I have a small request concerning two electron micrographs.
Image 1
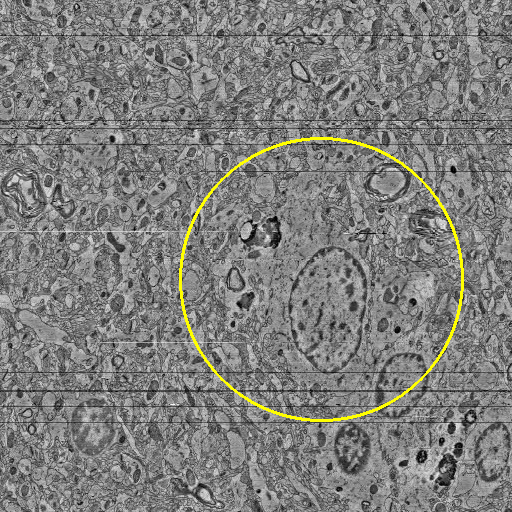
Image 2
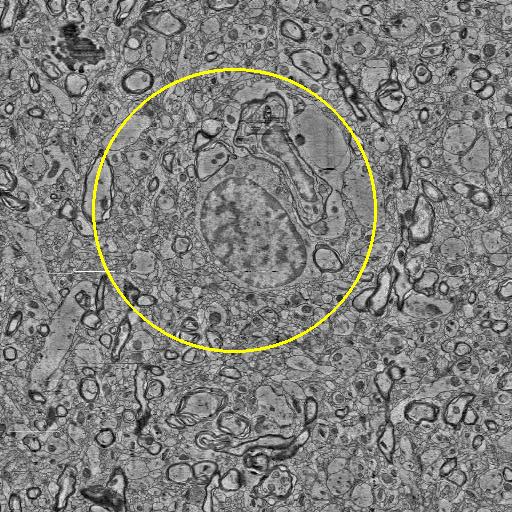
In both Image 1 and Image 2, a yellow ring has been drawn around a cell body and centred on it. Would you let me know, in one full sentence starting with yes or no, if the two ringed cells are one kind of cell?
No, the cells ringed in Image 1 and Image 2 are two kinds of cell.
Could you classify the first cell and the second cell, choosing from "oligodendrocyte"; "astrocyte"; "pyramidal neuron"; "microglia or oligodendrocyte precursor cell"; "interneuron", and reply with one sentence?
The second cell is an oligodendrocyte, while the first is an astrocyte.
